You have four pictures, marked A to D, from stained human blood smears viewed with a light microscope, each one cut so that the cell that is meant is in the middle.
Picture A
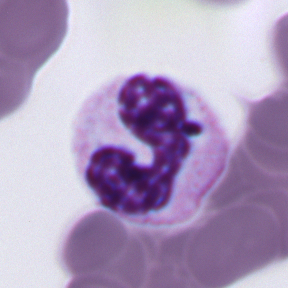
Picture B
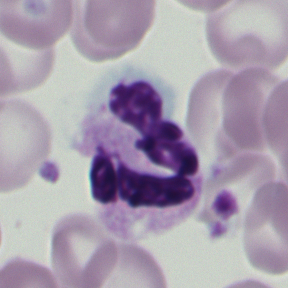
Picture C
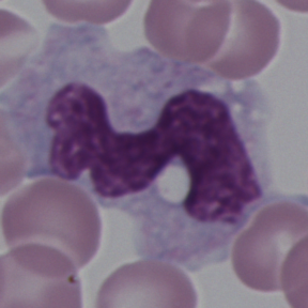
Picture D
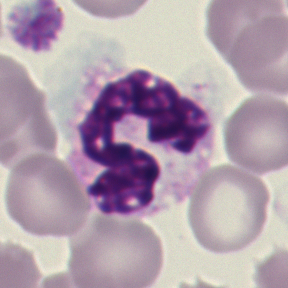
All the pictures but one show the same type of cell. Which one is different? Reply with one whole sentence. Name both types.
The different one is picture C; it shows a monocyte, whereas all the others show segmented neutrophils.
